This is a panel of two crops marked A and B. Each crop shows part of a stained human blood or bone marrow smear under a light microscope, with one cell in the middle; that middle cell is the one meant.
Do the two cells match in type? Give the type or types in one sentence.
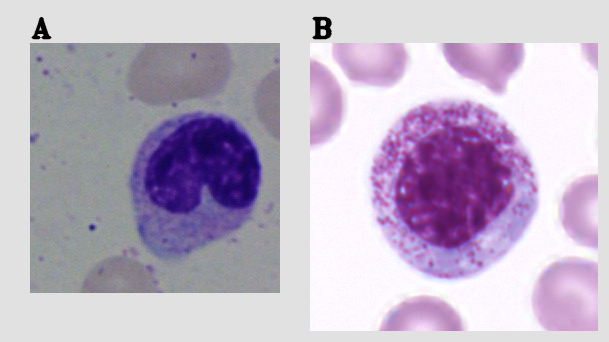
No, it is a metamyelocyte in crop A and a myelocyte in crop B.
